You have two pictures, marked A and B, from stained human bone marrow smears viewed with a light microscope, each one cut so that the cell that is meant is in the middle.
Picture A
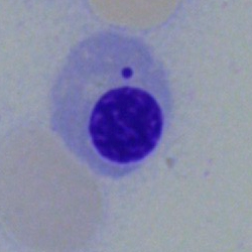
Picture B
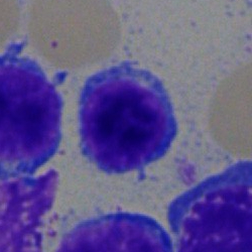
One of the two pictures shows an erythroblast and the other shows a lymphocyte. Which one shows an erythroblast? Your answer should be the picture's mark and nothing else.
A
